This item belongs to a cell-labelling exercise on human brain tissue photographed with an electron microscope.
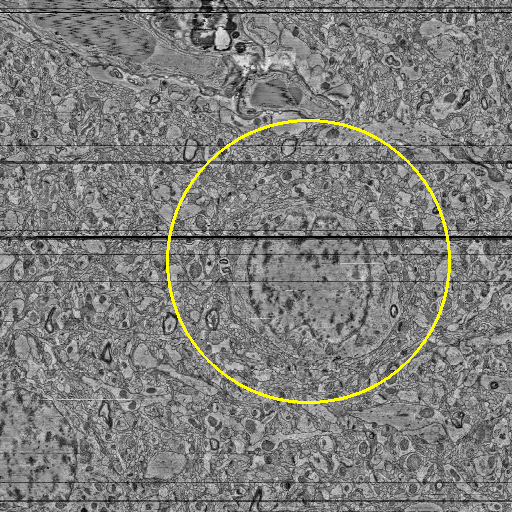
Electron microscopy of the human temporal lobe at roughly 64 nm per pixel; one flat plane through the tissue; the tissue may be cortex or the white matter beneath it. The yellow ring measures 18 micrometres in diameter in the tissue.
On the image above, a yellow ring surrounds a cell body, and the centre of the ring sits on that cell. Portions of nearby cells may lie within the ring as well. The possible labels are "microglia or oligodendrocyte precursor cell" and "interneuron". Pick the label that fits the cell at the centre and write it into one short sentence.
This cell should be labelled as an interneuron.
